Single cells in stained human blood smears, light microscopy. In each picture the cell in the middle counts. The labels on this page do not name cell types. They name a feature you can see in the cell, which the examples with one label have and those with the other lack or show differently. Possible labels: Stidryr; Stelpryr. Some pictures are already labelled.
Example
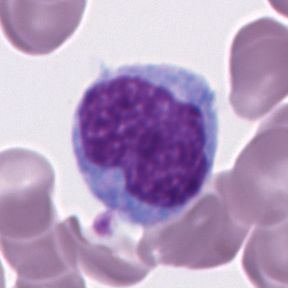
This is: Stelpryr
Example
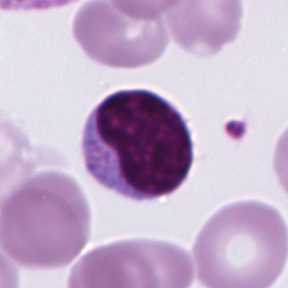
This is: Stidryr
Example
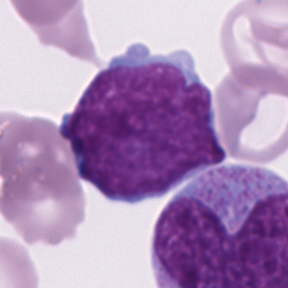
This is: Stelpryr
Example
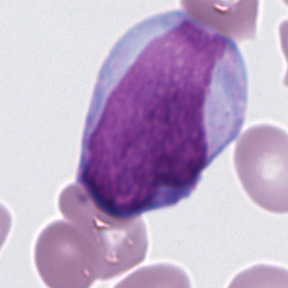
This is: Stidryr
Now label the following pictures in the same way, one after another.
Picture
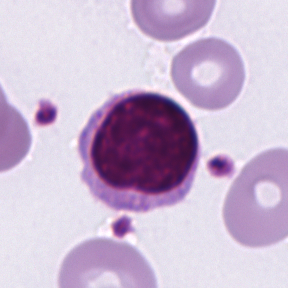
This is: Stelpryr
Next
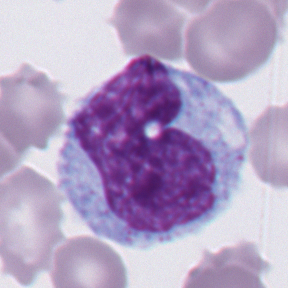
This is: Stidryr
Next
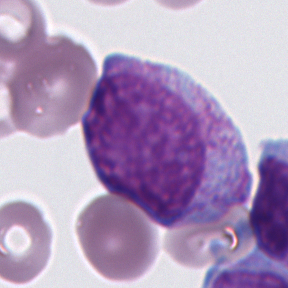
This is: Stidryr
